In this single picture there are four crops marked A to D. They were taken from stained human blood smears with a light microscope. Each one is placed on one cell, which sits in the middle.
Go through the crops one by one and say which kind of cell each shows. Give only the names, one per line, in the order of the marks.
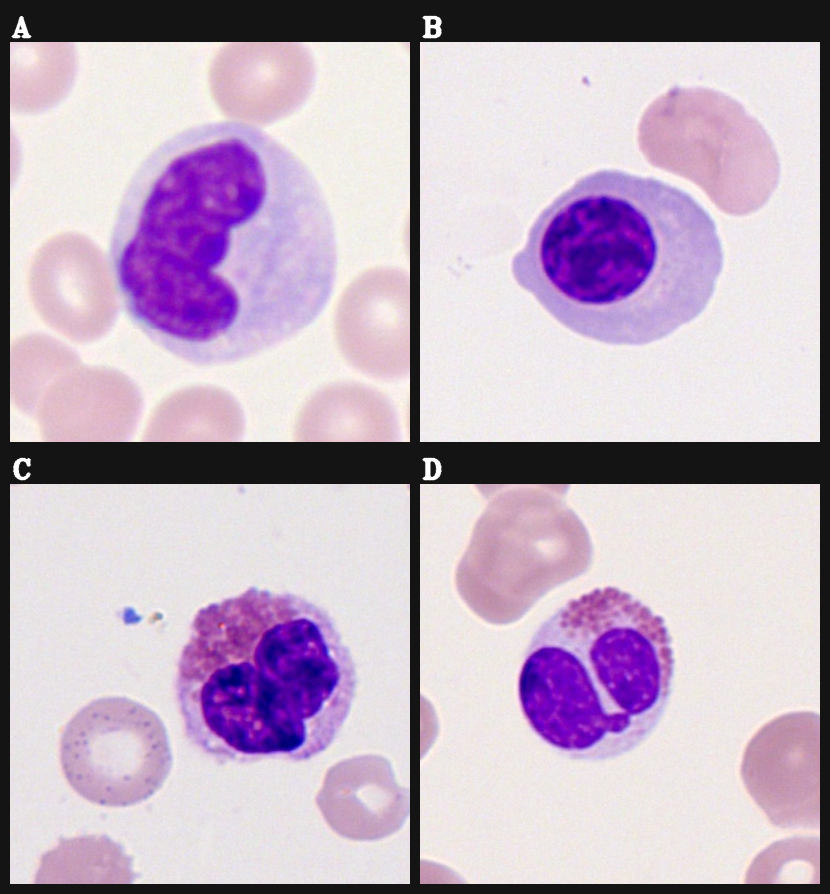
monocyte
erythroblast
eosinophil
eosinophil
